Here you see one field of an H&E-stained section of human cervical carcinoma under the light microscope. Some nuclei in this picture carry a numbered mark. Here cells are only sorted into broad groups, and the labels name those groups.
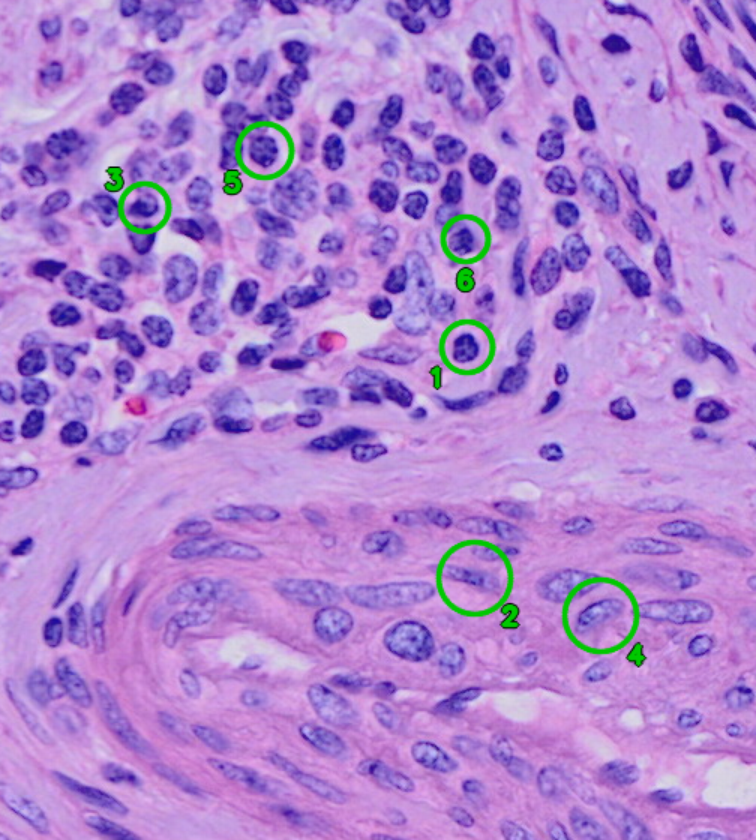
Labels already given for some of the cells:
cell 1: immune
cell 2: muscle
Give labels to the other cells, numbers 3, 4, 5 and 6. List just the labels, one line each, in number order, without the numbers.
immune
muscle
immune
immune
